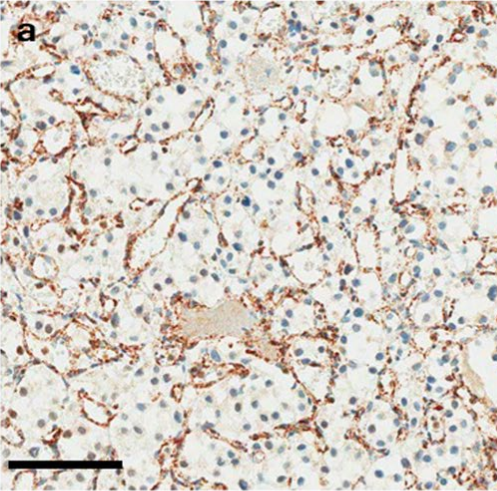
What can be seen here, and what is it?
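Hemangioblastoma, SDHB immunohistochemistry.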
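This is a tumour made of nests of large polygonal stromal cells with clear, pale, vacuolated cytoplasm and small round blue nuclei. Between the nests runs a dense meshwork of thin capillary channels whose lining endothelial cells carry strong brown granular stain. The tumour cells themselves show no brown in their cytoplasm, so the stained capillaries stand out as a branching network. A few larger vessel lumens contain pink-grey proteinaceous material.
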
